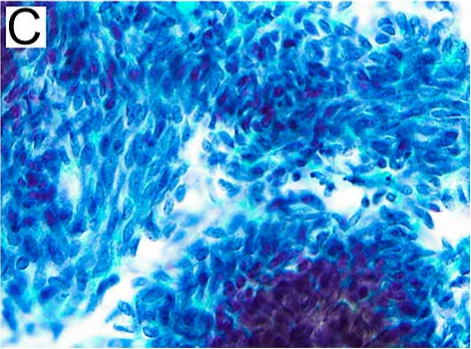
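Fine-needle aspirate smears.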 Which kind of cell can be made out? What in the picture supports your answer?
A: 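Cells with elongated, oval-to-spindle nuclei lie crowded together. The elongated cells run in streaming, roughly parallel groups. So: spindle-shaped cell clusters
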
